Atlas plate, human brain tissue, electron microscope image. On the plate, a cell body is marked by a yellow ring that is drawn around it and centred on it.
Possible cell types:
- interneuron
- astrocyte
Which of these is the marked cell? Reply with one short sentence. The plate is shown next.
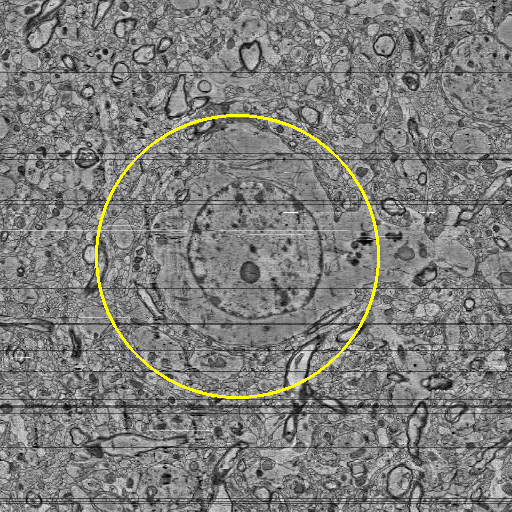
The marked cell is an astrocyte.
